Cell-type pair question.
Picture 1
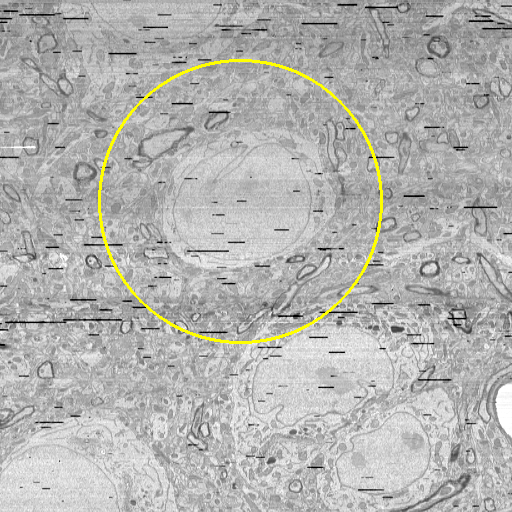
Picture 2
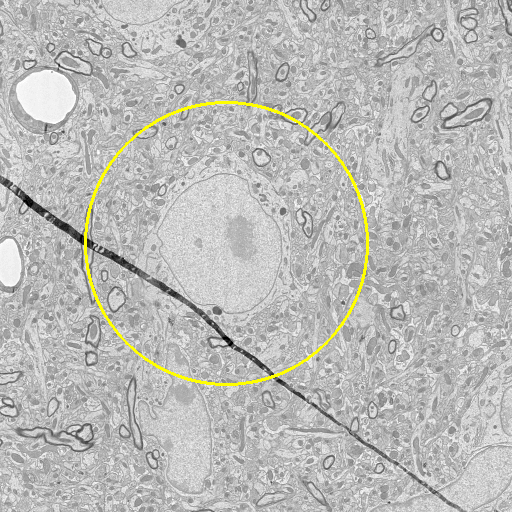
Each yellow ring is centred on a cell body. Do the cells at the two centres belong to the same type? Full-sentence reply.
Yes, the two cells belong to the same type.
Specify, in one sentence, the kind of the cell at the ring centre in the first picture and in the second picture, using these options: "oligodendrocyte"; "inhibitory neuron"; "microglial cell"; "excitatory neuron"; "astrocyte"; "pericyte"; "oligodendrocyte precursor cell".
Each one of the two ringed cells is an excitatory neuron.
